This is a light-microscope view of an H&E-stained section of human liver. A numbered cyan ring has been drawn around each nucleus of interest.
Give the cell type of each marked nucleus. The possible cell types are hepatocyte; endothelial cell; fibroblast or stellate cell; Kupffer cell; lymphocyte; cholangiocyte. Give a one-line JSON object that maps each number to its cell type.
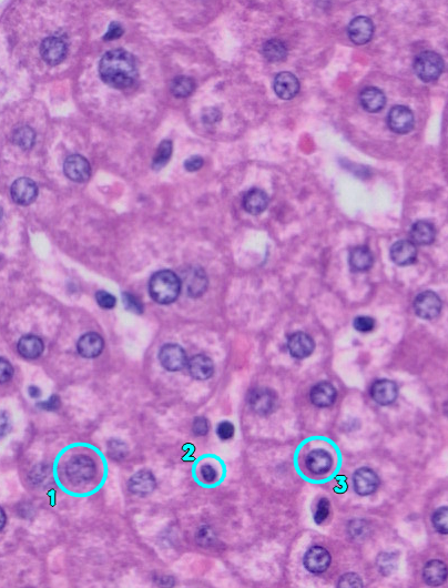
{"1": "hepatocyte", "2": "lymphocyte", "3": "hepatocyte"}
